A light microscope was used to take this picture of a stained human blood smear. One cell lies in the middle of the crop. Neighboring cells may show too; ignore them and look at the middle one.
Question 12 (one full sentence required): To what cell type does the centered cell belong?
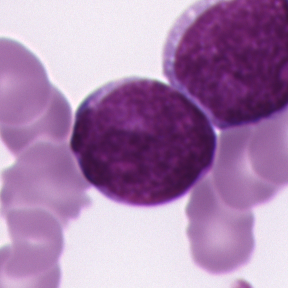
The cell the crop is centered on is a myeloblast.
